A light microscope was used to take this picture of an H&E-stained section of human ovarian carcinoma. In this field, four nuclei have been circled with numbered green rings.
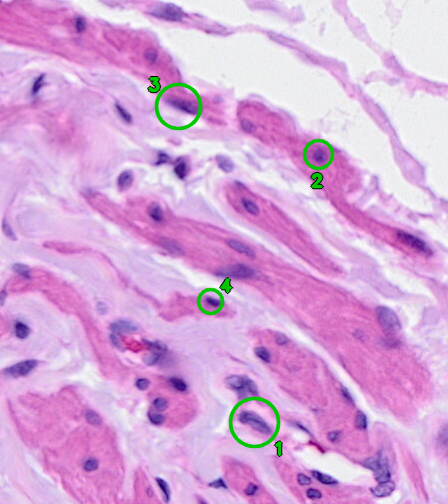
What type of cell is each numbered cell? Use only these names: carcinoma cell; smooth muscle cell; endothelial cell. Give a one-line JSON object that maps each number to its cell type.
{"1": "endothelial cell", "2": "smooth muscle cell", "3": "smooth muscle cell", "4": "smooth muscle cell"}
